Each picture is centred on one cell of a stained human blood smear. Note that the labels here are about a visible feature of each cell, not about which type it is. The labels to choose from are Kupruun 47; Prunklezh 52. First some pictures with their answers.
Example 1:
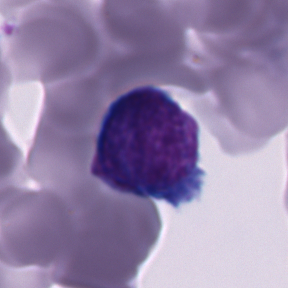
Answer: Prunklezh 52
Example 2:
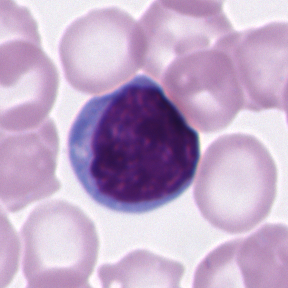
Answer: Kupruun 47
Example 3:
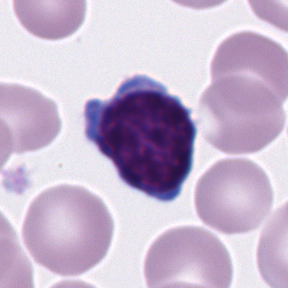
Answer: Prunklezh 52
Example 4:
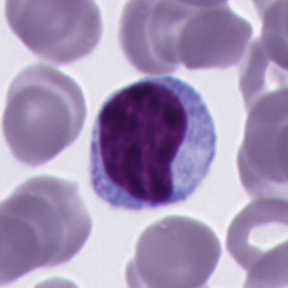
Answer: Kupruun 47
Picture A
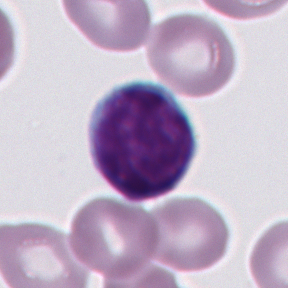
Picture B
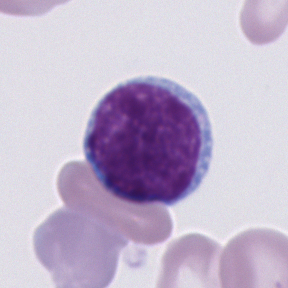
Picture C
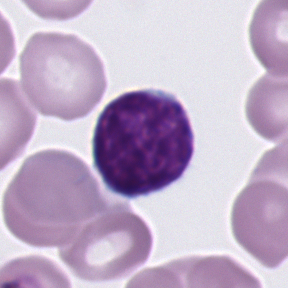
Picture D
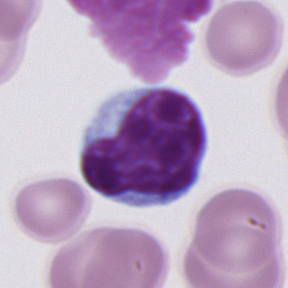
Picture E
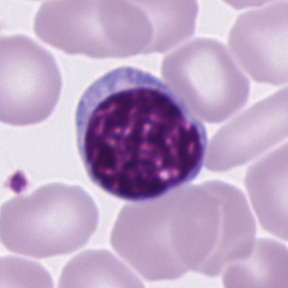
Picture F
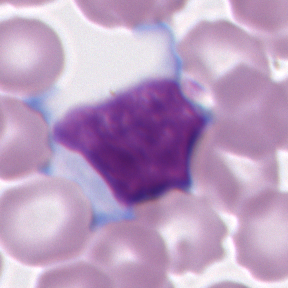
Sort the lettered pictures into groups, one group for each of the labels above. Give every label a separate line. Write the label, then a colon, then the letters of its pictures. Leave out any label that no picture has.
Kupruun 47: A, B, C, D, E
Prunklezh 52: F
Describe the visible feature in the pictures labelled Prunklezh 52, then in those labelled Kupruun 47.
In Prunklezh 52: ragged outline or projections. In Kupruun 47: smooth outline.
